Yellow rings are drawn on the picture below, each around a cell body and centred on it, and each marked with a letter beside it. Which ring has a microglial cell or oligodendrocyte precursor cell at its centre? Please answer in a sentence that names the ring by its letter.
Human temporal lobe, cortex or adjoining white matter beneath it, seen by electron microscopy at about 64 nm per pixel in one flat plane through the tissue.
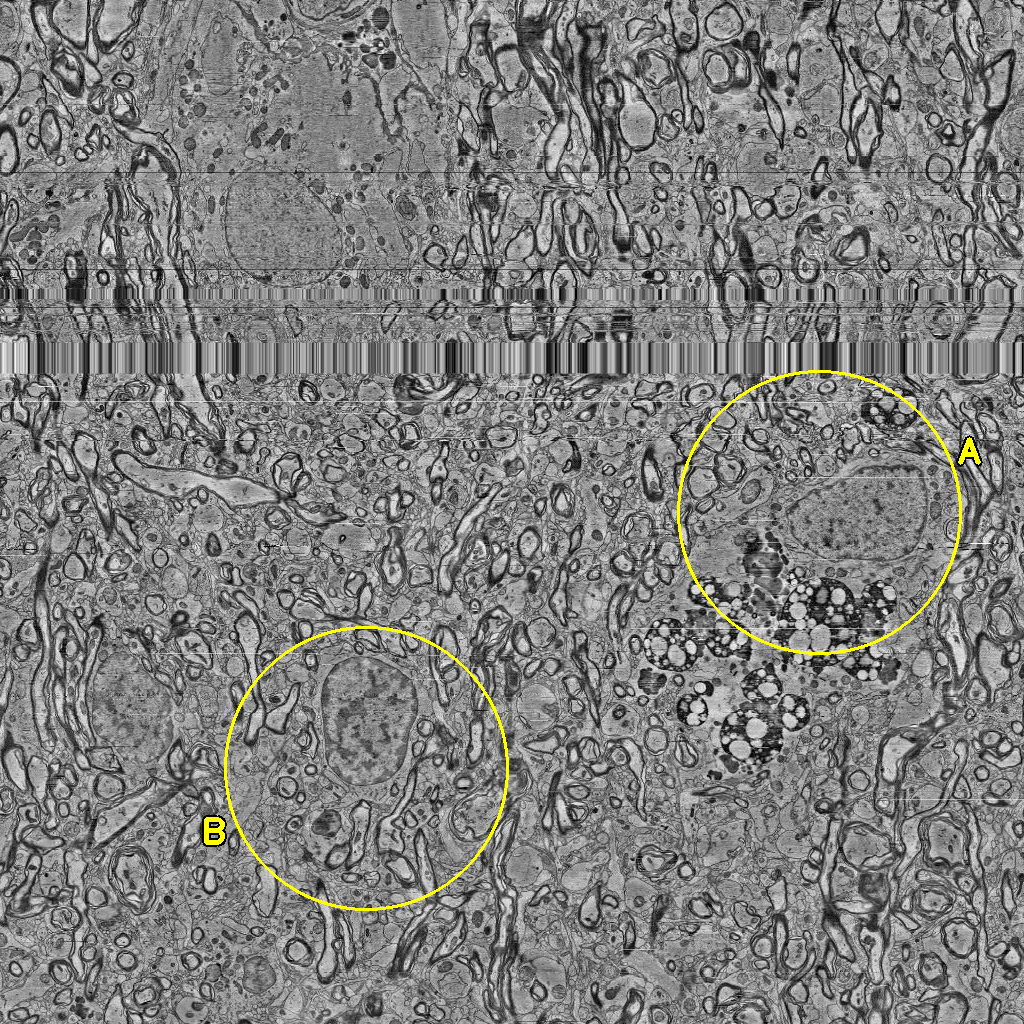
That is ring B.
